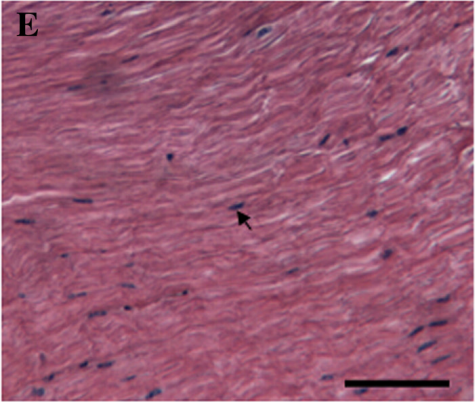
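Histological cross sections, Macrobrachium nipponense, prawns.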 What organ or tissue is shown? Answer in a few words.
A: striated muscle fibers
